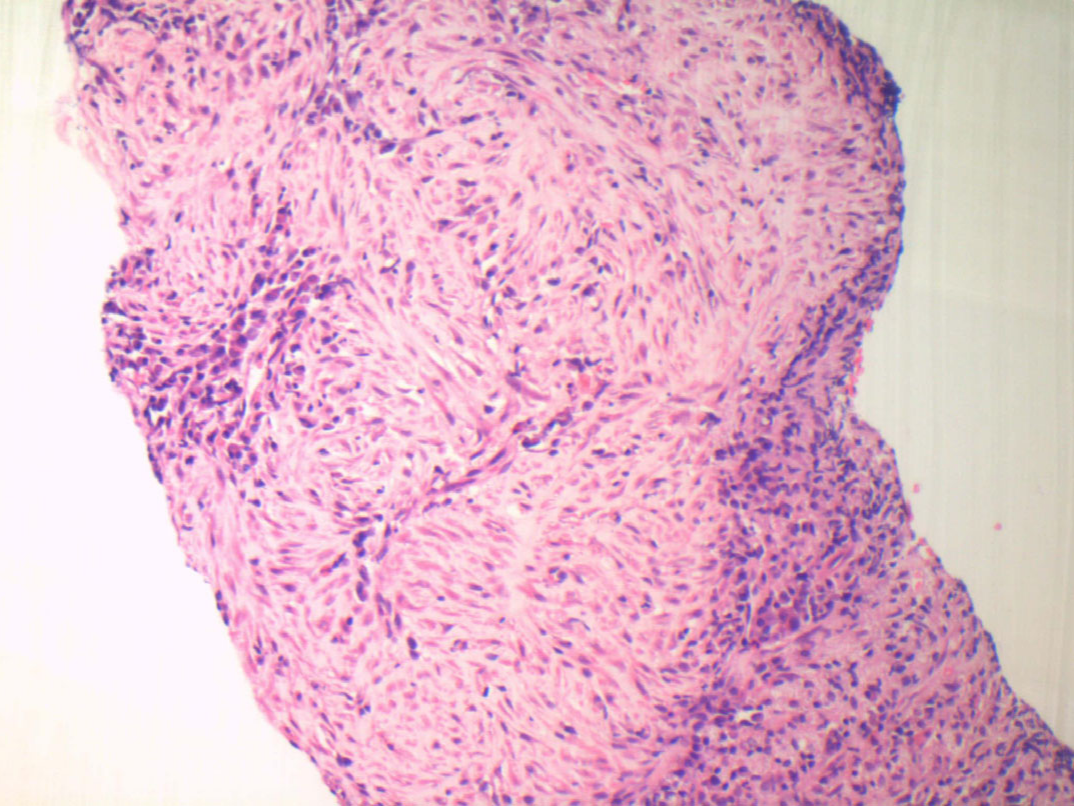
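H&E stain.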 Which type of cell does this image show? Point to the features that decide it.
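Small round cells with dark nuclei gather in patches among the spindle cells. Such patches appear at the left edge and in the right lower part. So: chronic inflammatory cells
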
